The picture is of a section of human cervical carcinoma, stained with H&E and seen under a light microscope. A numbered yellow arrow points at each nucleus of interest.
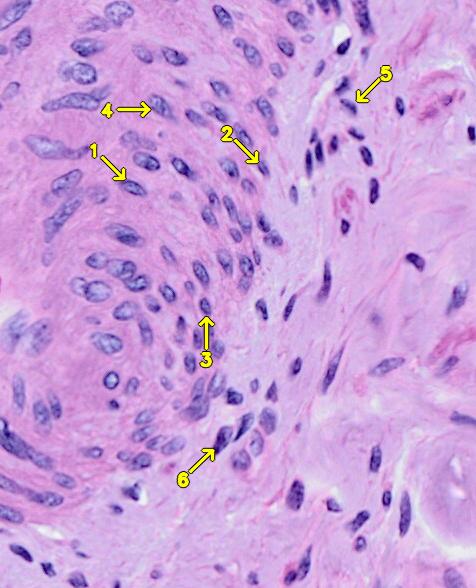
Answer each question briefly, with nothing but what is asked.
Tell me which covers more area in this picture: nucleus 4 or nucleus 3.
4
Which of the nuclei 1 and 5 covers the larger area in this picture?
1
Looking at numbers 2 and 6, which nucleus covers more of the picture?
6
